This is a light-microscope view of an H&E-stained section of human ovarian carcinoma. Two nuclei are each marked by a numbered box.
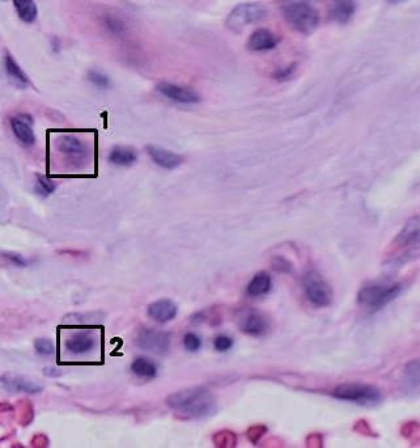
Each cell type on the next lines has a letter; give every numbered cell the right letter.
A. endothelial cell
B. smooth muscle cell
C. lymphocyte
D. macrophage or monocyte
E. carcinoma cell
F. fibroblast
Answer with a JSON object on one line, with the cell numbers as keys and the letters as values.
{"1": "A", "2": "C"}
